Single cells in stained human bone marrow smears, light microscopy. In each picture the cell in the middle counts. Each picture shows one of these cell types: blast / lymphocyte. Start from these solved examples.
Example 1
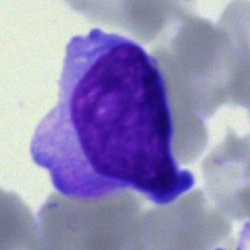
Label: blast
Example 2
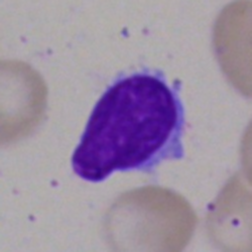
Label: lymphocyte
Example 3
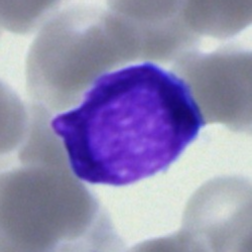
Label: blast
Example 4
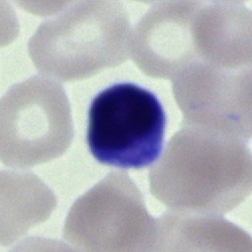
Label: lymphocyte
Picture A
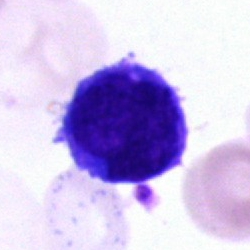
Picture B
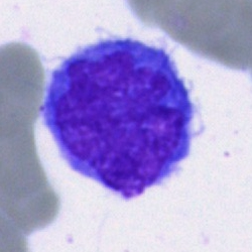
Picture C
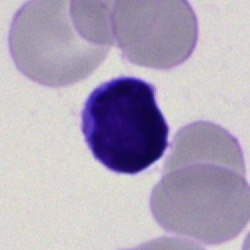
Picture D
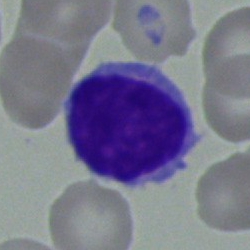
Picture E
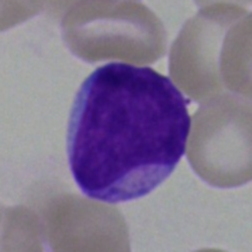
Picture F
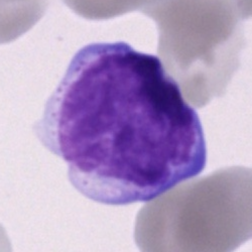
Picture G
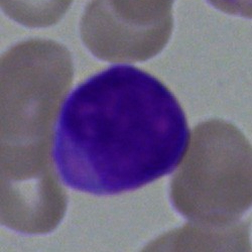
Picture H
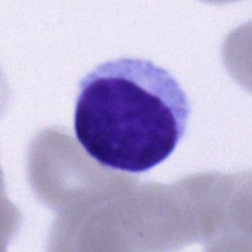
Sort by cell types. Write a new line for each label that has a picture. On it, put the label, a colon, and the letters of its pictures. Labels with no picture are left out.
blast: A, B, E, F, G
lymphocyte: C, D, H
